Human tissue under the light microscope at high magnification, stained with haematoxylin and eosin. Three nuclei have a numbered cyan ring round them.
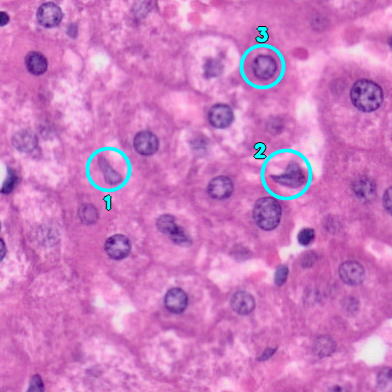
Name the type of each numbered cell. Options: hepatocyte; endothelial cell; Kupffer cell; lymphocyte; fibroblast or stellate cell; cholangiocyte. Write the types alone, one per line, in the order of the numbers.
Kupffer cell
Kupffer cell
hepatocyte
